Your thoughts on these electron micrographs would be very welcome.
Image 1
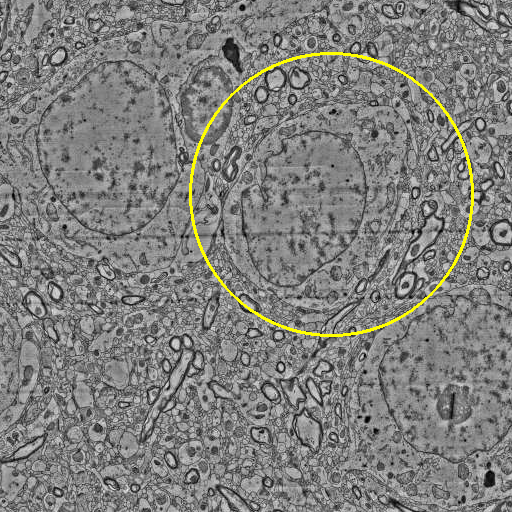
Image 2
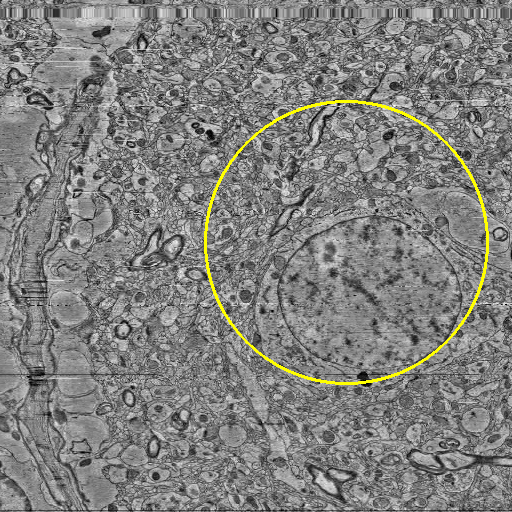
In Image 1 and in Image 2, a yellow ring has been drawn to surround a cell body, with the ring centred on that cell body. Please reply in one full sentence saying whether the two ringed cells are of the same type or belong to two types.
The ringed cells in Image 1 and Image 2 are of the same type.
